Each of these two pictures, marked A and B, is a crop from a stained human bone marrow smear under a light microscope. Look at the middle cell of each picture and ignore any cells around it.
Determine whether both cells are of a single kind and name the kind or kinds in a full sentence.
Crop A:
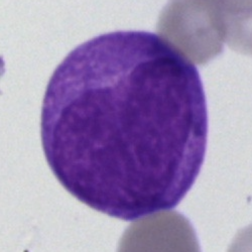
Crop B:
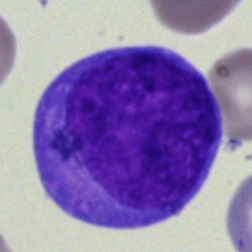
Yes, the reply for both crops is blasts.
